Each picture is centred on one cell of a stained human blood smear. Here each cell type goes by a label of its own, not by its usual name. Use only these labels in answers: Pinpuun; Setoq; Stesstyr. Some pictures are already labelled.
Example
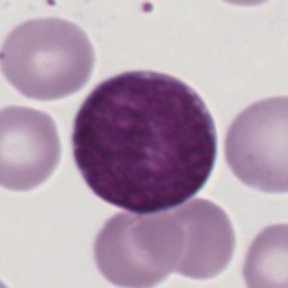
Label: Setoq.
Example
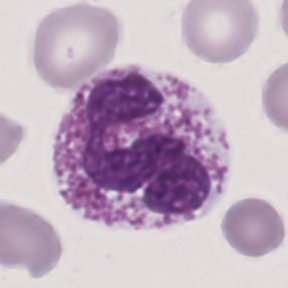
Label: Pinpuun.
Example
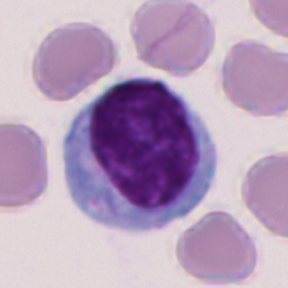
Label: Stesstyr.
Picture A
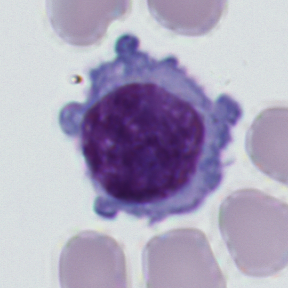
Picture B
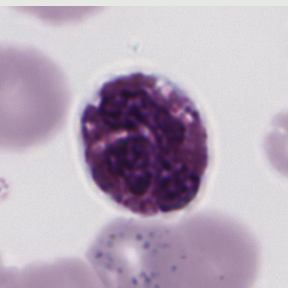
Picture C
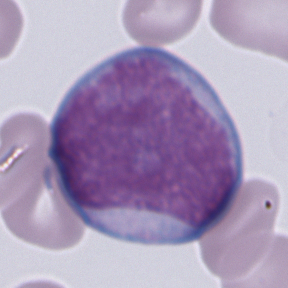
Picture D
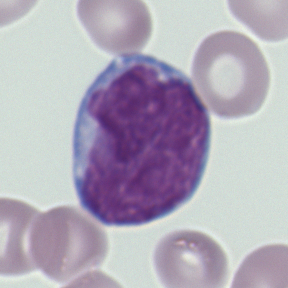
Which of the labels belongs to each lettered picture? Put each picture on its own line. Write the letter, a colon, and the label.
A: Stesstyr.
B: Pinpuun.
C: Setoq.
D: Setoq.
